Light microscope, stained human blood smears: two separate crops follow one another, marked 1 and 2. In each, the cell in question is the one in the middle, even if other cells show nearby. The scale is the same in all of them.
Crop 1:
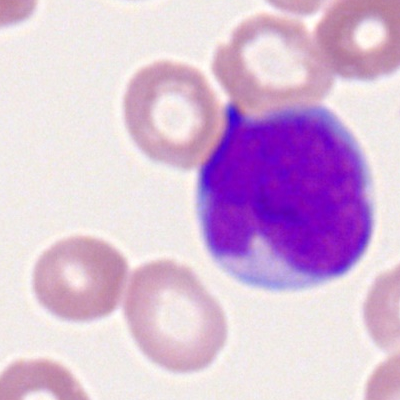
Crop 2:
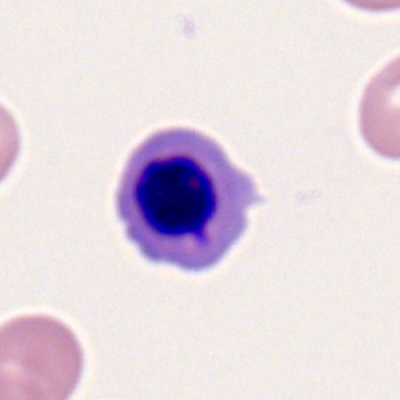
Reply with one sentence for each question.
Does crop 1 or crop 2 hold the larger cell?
Crop 1 holds the larger cell; it covers about 2 times the area of the cell in crop 2.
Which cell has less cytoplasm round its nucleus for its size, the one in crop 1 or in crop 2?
In crop 1 the nucleus takes up the larger part of its cell.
